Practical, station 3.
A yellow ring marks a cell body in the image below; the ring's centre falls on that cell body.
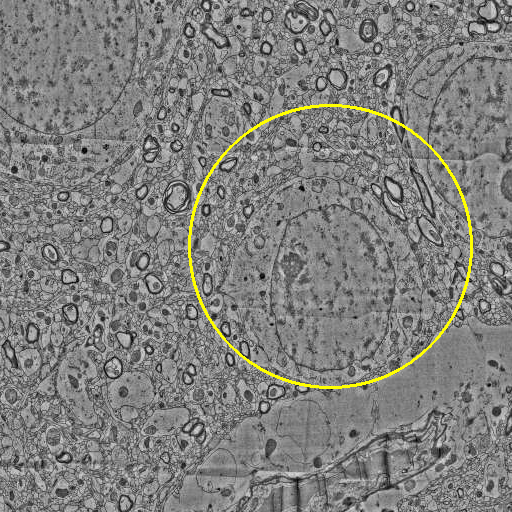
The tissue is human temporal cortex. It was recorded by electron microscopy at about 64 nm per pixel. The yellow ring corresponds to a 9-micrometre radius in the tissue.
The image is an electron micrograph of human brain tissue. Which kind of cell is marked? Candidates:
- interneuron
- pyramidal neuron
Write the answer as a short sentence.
The marked cell body is that of a pyramidal neuron.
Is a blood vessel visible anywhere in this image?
Yes, a blood vessel shows in the picture.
